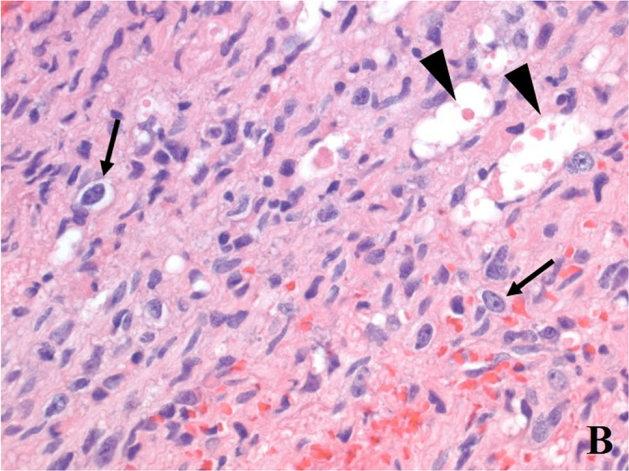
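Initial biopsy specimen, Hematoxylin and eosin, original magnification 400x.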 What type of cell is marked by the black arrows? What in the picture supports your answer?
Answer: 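Arrowed nuclei show visible nucleoli.
Answer: large, atypical cells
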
